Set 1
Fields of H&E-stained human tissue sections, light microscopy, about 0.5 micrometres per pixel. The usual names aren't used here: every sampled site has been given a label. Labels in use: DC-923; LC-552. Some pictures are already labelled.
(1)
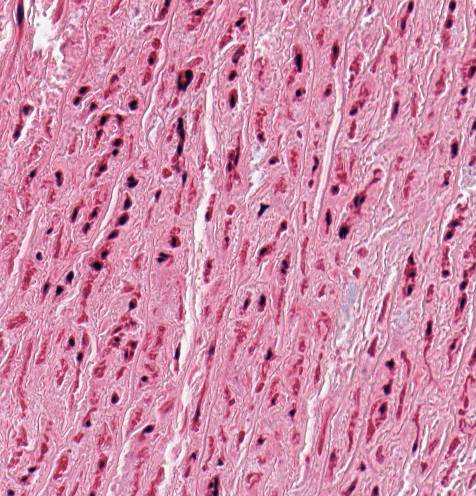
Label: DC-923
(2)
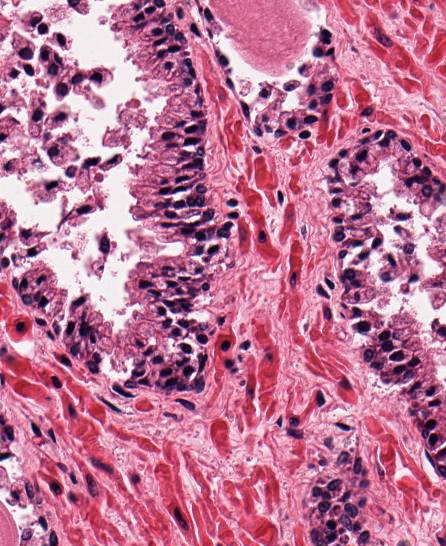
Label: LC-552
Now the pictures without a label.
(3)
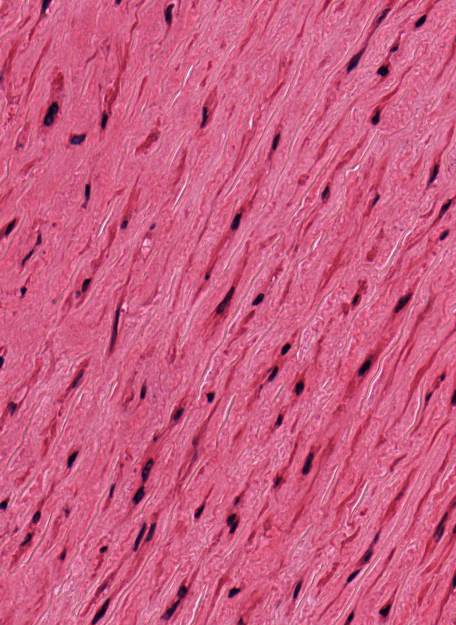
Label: DC-923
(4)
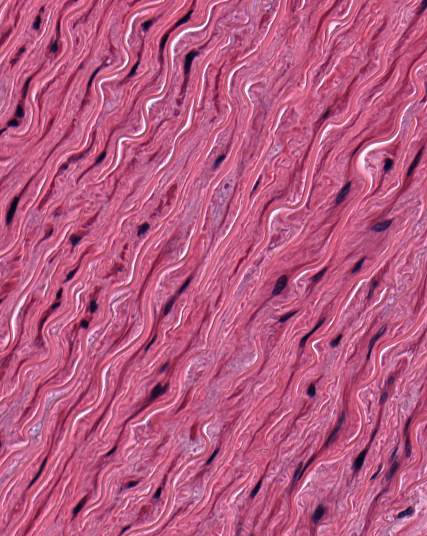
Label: DC-923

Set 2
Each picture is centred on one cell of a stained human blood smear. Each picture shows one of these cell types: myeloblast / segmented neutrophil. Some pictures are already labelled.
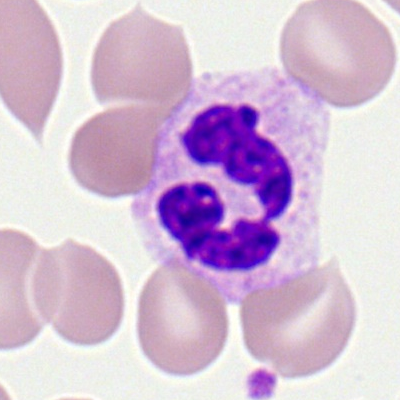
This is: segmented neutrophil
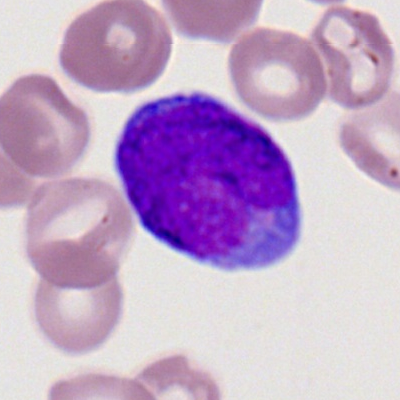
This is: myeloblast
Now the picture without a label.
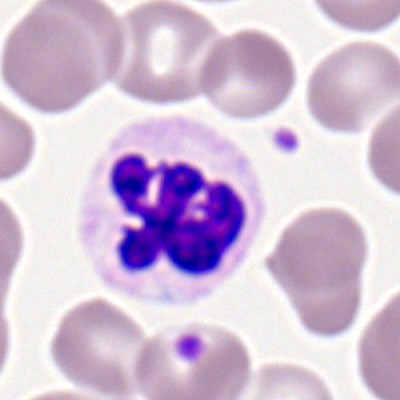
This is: segmented neutrophil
